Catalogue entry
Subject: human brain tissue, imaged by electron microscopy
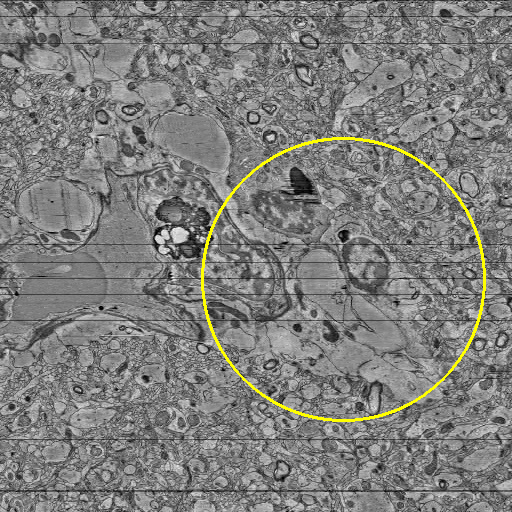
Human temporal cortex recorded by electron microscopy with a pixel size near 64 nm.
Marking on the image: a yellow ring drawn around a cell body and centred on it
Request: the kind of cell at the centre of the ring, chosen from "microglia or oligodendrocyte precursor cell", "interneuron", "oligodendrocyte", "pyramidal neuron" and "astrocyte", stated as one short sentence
The ring has a microglial cell or oligodendrocyte precursor cell at its centre.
